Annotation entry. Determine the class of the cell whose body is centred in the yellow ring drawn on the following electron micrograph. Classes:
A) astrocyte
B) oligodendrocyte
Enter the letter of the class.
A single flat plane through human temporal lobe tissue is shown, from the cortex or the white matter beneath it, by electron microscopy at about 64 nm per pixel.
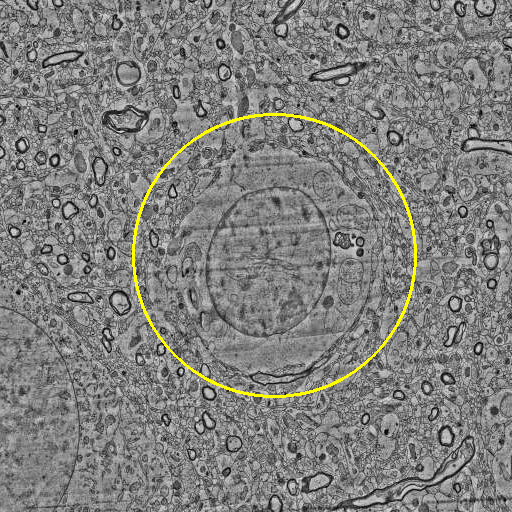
A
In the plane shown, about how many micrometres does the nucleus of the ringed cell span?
Roughly 10 by 8 micrometres in this plane, for the nucleus of the ringed cell.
